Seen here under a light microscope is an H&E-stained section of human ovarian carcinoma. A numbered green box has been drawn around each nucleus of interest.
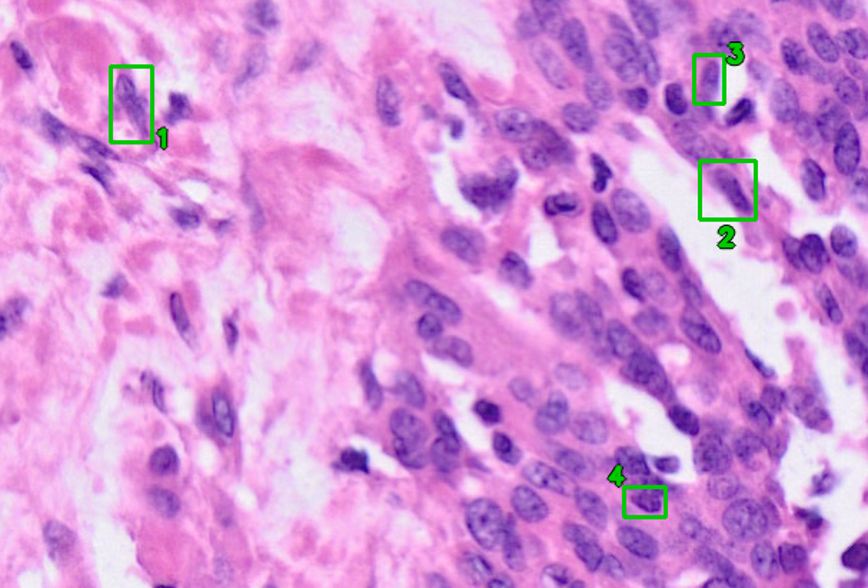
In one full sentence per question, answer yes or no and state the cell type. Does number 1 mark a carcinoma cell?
No, a fibroblast is what cell 1 is, not a carcinoma cell.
